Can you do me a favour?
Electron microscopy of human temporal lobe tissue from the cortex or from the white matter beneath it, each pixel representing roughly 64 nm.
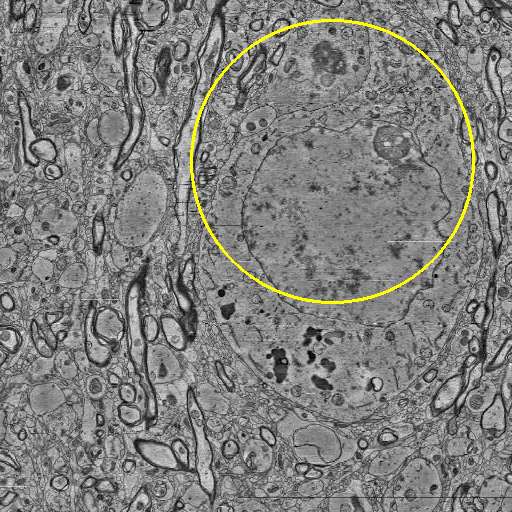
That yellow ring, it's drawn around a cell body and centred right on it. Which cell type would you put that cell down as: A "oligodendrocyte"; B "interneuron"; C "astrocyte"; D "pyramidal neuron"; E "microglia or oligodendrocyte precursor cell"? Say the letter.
D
